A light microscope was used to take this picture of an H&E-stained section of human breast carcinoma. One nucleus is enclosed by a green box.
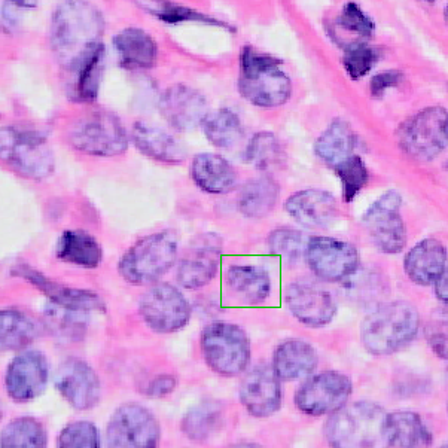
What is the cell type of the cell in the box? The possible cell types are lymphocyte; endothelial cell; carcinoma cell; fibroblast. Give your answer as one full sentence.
In cellular terms, the cell in the box is a carcinoma cell.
